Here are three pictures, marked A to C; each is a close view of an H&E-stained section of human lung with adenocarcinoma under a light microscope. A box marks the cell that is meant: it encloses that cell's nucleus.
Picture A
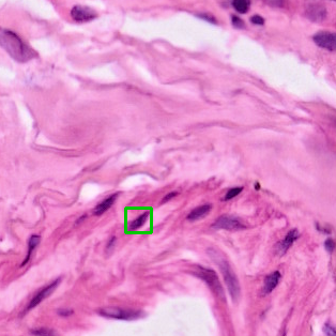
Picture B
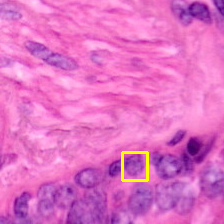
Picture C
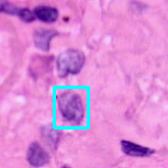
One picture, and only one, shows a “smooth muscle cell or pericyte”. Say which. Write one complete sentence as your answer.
It is picture A that shows the “smooth muscle cell or pericyte”.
